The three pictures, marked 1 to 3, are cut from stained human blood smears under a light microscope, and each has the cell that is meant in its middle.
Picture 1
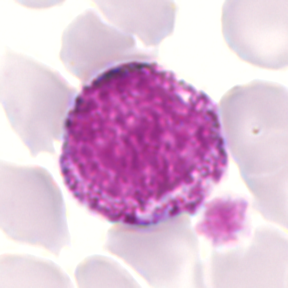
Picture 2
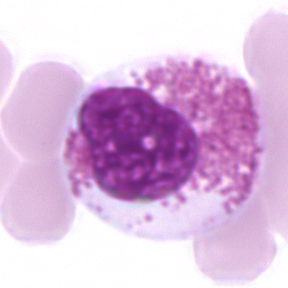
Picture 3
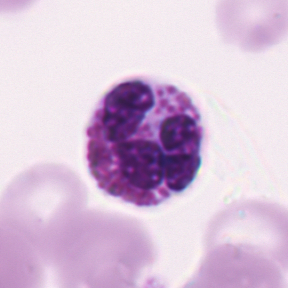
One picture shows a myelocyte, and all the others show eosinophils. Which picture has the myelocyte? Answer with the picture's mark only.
1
